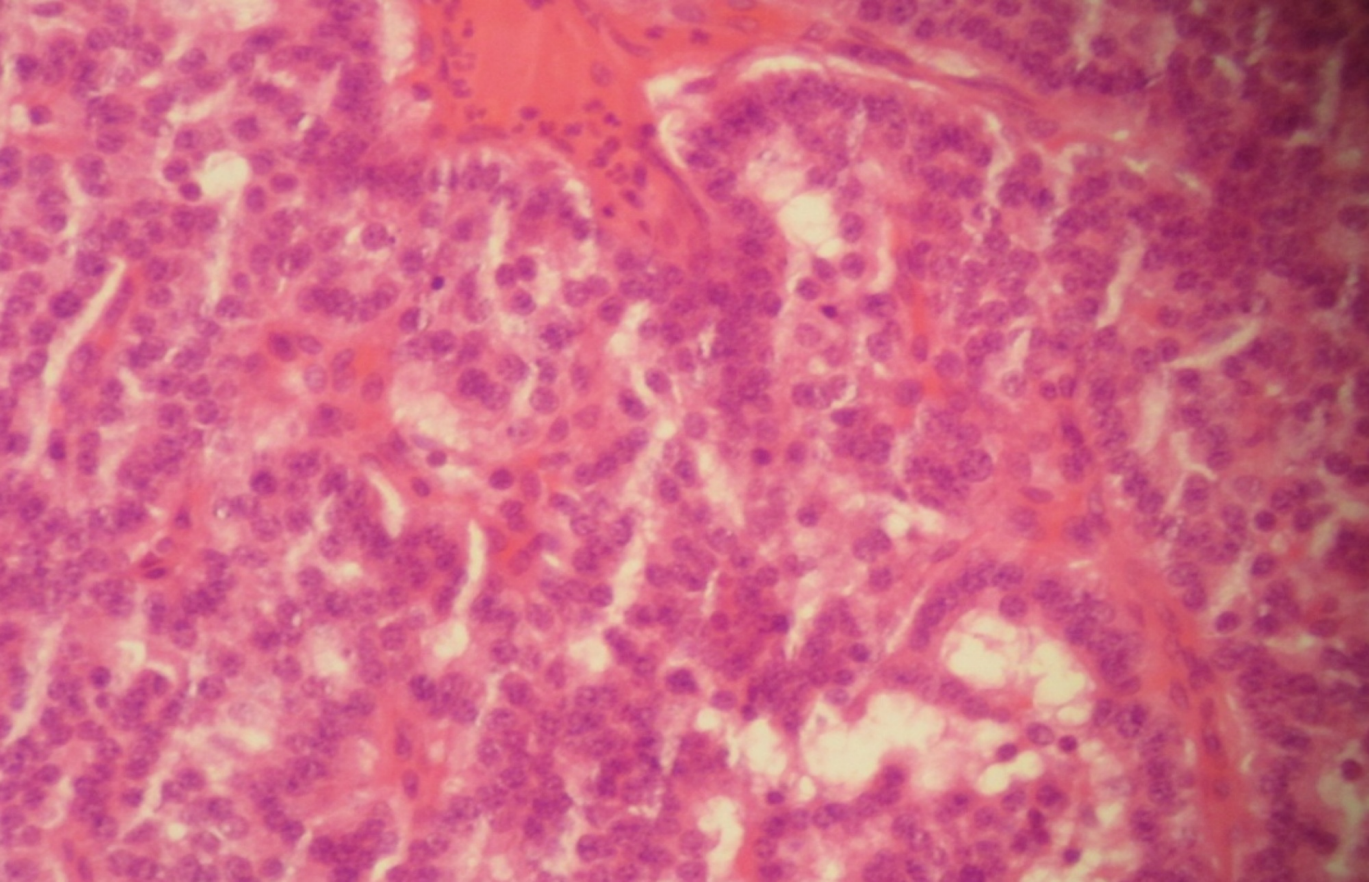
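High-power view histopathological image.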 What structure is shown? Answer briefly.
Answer: Nests of polygonal cells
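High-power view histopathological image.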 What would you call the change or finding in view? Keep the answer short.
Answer: Neuroendocrine tumor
